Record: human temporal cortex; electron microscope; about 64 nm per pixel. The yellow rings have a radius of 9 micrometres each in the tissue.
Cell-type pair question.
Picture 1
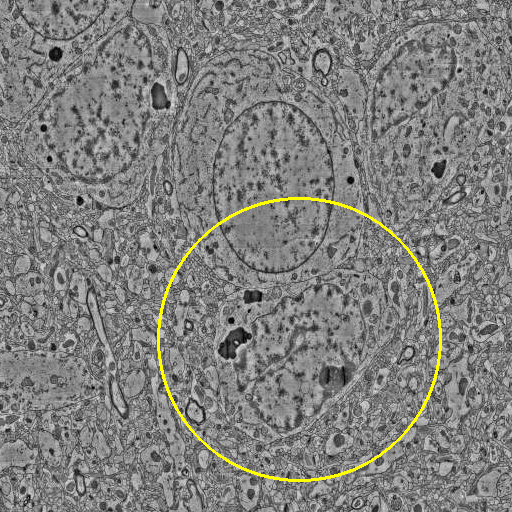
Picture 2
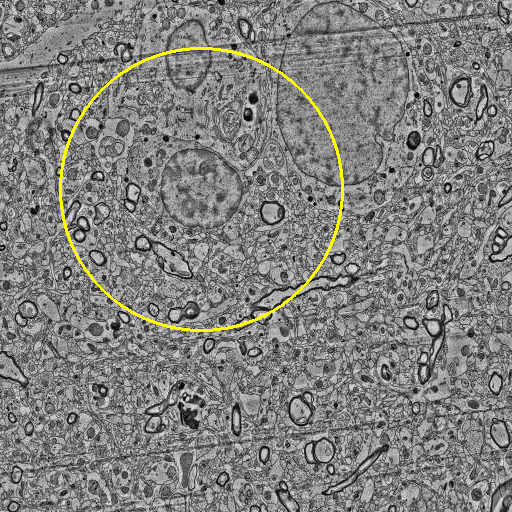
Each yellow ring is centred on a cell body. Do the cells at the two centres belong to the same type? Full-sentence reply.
No, the two cells belong to two types.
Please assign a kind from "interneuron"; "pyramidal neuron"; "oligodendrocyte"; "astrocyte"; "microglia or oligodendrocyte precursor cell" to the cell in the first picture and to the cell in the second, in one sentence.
In the first picture we have an interneuron, and in the second, an oligodendrocyte.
